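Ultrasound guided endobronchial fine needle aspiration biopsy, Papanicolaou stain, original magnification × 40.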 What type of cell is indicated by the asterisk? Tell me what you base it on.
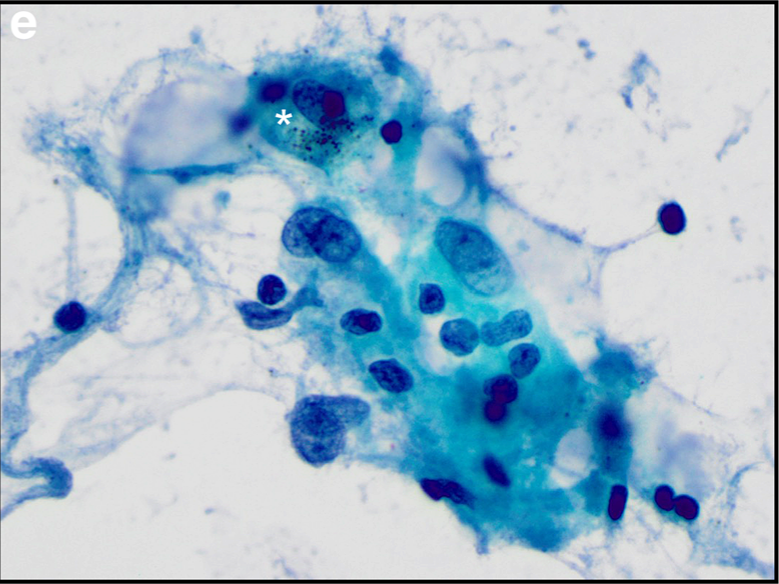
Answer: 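The cell at the asterisk has fine black granules scattered in its cytoplasm.
Conclusion: anthracotic pigmented macrophages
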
